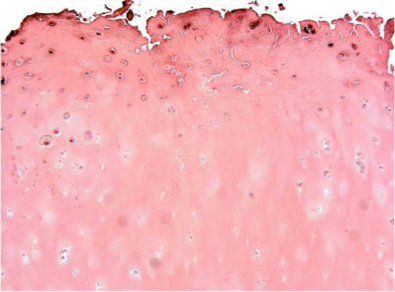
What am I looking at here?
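A section of cartilage in pink matrix whose surface is ragged and fibrillated, with clefts and flaps splitting off the top. Rounded cells sit in lacunae, some grouped in small clusters near the surface, a few of them darkly stained. This is cartilage with chondrocytes showing mild to moderate osteoarthritis.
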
